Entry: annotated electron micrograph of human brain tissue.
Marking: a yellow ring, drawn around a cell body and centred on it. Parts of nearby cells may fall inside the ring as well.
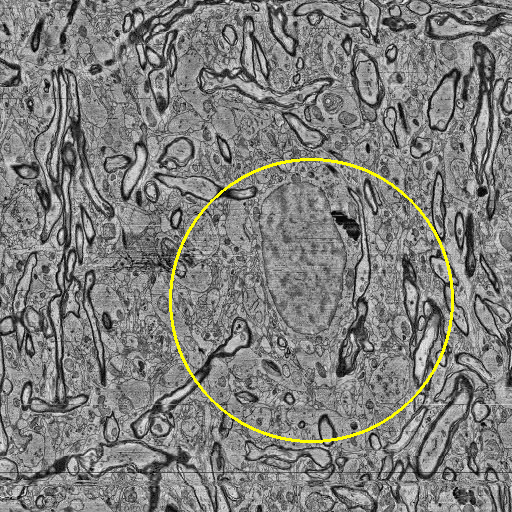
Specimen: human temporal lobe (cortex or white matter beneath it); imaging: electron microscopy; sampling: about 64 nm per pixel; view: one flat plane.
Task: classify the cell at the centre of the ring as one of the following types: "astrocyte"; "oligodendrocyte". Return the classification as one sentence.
The marked cell is classified as an oligodendrocyte.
